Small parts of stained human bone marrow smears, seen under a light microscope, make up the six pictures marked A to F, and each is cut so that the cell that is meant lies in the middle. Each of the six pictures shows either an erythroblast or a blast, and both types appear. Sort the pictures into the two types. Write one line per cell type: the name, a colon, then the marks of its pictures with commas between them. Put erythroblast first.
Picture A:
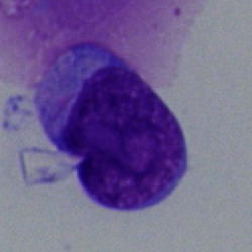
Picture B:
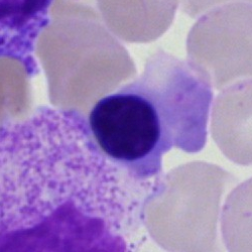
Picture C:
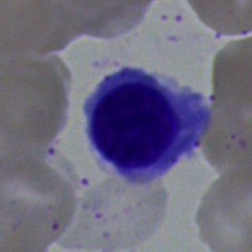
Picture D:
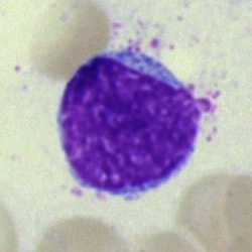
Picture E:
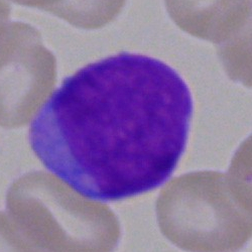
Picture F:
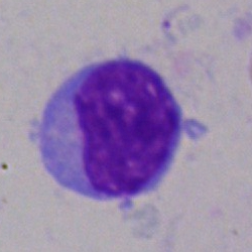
erythroblast: B, C
blast: A, D, E, F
